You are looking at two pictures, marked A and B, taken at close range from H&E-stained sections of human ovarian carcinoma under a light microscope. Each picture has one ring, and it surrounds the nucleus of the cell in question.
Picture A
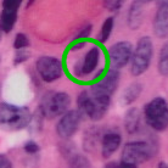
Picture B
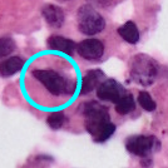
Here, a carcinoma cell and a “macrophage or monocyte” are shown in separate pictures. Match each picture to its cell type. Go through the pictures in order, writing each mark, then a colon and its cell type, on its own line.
A: carcinoma cell
B: macrophage or monocyte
